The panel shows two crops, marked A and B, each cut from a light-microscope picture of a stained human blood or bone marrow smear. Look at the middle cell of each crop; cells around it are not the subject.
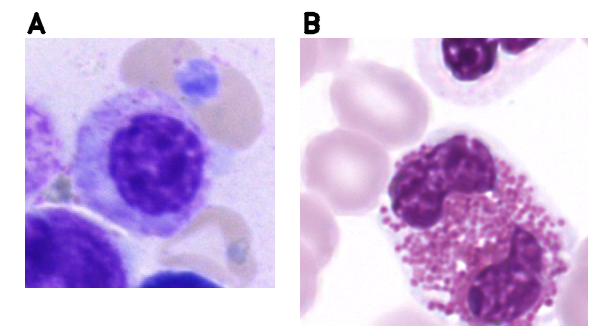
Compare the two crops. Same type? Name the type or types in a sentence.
No, in crop B the central cell is an eosinophil, and in crop A it is a myelocyte.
